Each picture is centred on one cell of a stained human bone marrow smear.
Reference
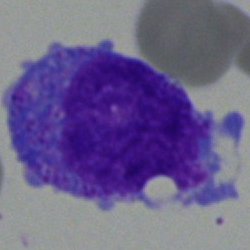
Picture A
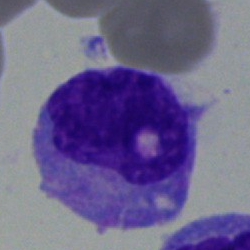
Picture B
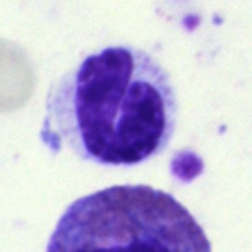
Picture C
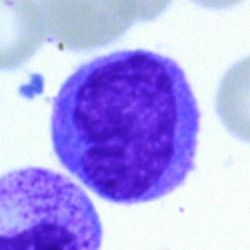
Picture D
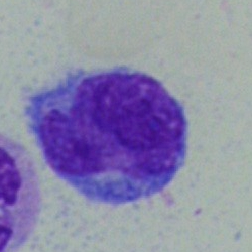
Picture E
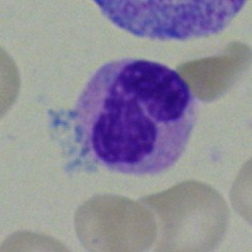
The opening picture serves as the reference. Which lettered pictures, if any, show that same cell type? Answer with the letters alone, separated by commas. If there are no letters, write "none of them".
A, C, D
